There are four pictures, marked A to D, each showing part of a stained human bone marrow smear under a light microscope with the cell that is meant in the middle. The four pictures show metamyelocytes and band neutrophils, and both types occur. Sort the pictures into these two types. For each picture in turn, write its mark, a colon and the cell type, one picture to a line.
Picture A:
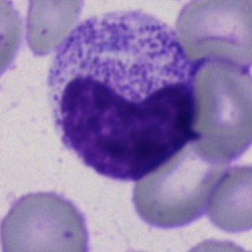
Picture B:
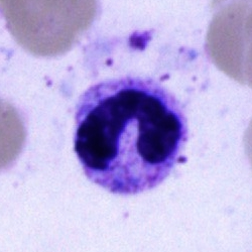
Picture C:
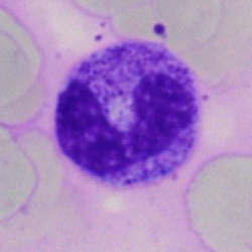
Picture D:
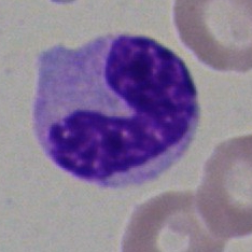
A: metamyelocyte
B: band neutrophil
C: band neutrophil
D: band neutrophil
